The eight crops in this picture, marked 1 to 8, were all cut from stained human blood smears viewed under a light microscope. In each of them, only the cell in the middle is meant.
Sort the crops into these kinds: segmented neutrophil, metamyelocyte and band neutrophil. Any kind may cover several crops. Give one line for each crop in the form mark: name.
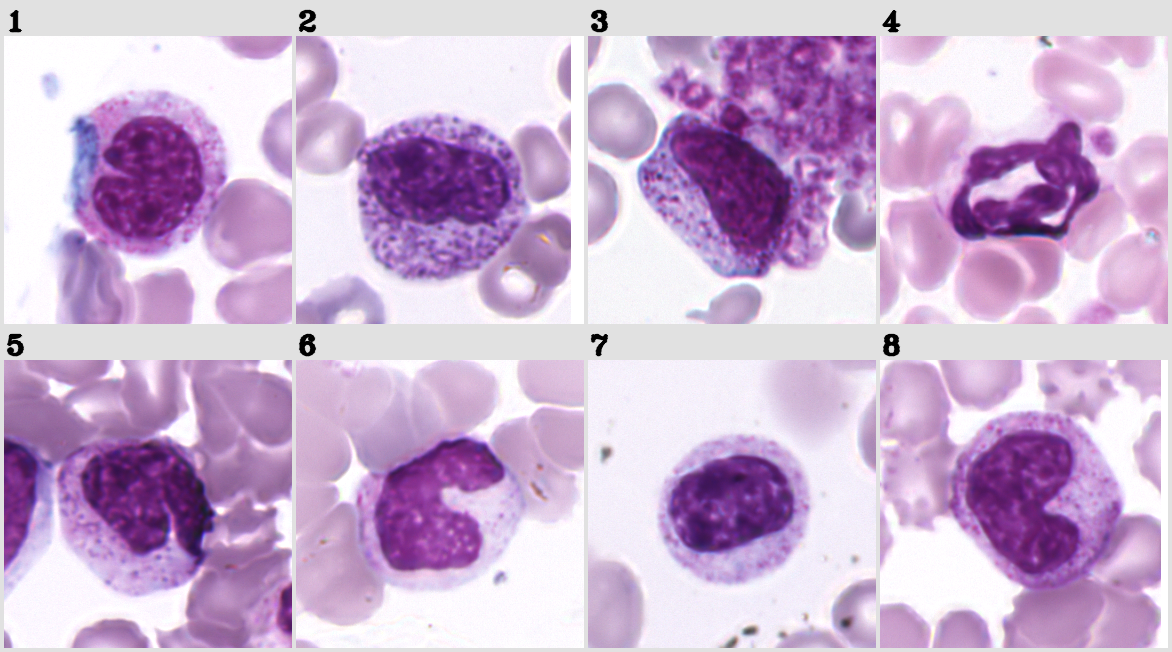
1: band neutrophil
2: metamyelocyte
3: metamyelocyte
4: segmented neutrophil
5: band neutrophil
6: band neutrophil
7: metamyelocyte
8: metamyelocyte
